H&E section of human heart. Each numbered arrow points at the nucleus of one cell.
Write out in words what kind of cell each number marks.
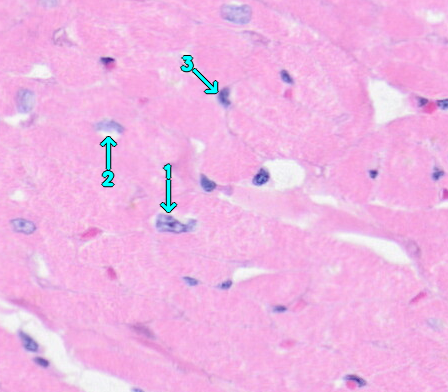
Cell 1 is a cardiomyocyte, cell 2 is a cardiomyocyte and cell 3 is an endothelial cell.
